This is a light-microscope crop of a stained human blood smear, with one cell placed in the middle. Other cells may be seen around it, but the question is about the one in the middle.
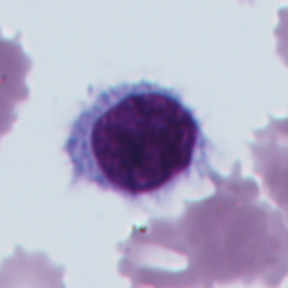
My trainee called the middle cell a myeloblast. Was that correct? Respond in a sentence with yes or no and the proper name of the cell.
No, the cell in the middle of the crop counts as a hairy cell and not as a myeloblast.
